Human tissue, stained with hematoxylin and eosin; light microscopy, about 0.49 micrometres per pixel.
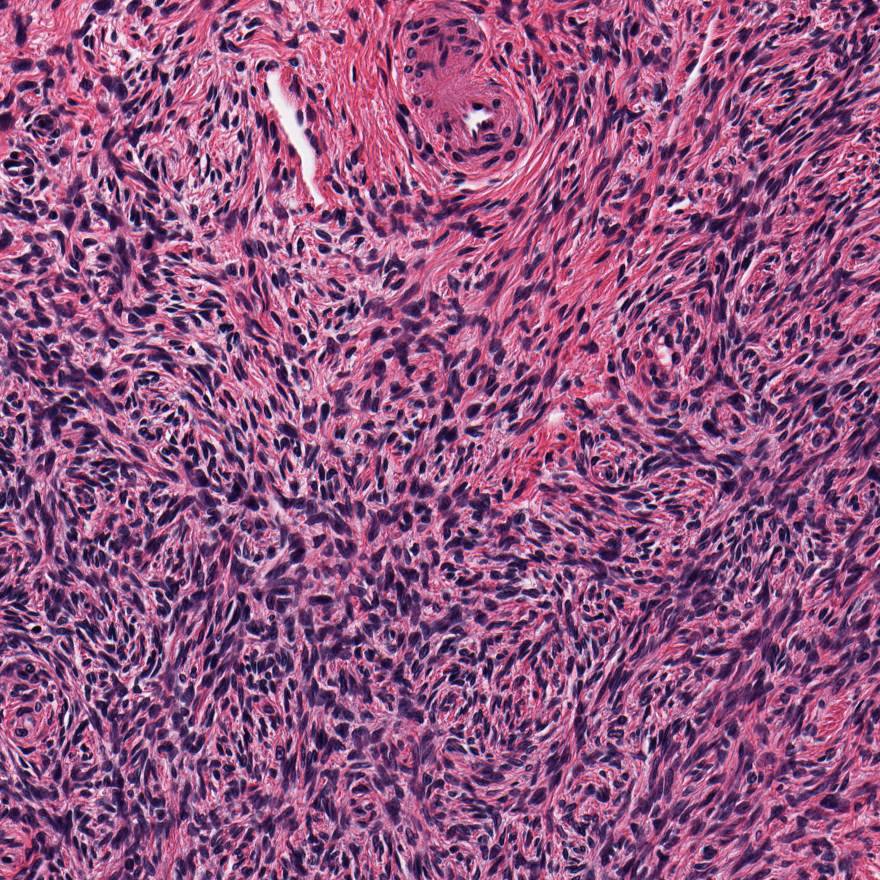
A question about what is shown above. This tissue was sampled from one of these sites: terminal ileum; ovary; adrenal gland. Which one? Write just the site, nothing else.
ovary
